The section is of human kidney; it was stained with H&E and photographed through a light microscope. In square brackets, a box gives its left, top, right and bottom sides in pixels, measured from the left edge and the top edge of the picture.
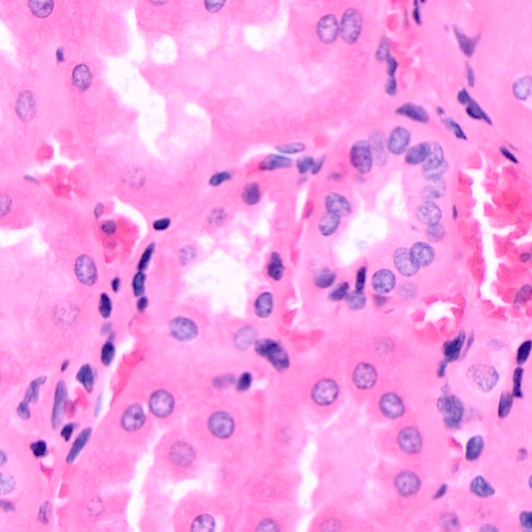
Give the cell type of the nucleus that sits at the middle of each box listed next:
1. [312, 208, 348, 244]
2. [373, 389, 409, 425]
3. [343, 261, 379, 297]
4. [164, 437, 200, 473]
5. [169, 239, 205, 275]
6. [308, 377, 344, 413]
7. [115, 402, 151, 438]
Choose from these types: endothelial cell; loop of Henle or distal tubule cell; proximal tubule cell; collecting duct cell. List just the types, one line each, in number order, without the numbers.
collecting duct cell
proximal tubule cell
collecting duct cell
proximal tubule cell
loop of Henle or distal tubule cell
proximal tubule cell
proximal tubule cell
